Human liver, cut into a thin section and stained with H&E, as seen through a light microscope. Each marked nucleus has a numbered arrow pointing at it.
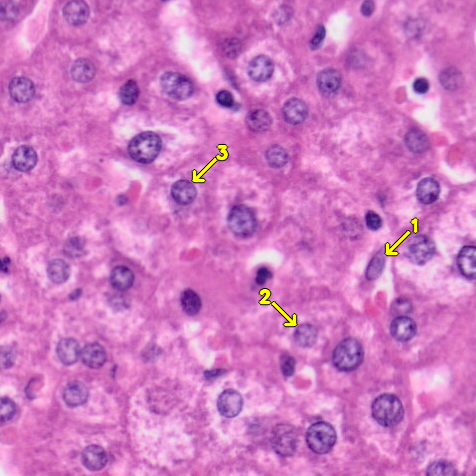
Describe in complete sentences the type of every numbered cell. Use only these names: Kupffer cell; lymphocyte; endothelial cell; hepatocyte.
Cell 1 is a Kupffer cell, cell 2 is a hepatocyte and cell 3 is a hepatocyte.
